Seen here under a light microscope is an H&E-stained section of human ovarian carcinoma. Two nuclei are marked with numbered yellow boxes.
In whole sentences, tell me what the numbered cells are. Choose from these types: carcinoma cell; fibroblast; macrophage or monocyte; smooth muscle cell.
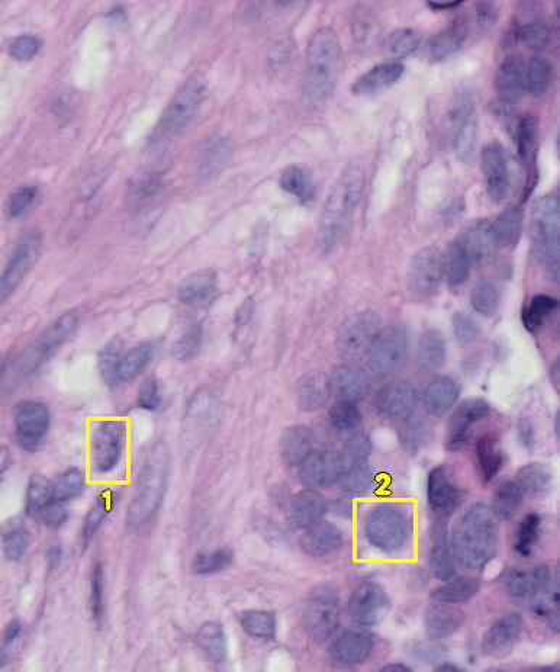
Cell 1 is a macrophage or monocyte. Cell 2 is a carcinoma cell.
